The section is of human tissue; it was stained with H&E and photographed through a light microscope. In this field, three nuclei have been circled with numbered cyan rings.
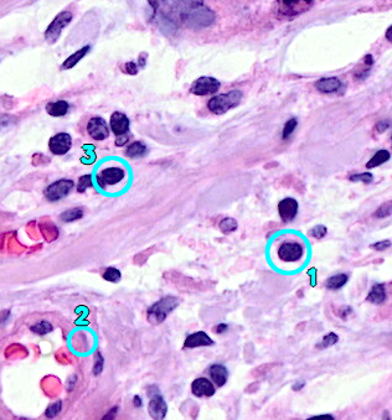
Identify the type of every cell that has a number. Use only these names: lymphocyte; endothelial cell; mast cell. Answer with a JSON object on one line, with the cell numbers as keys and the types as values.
{"1": "lymphocyte", "2": "endothelial cell", "3": "lymphocyte"}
